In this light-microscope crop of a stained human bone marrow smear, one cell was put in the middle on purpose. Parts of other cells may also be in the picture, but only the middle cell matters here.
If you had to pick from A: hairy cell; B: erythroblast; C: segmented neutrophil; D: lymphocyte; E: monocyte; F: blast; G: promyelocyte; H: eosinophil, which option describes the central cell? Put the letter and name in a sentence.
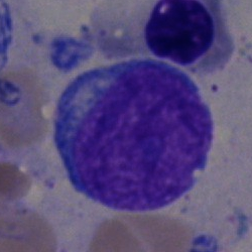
Option F is the right one, for the cell in the middle is a blast.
